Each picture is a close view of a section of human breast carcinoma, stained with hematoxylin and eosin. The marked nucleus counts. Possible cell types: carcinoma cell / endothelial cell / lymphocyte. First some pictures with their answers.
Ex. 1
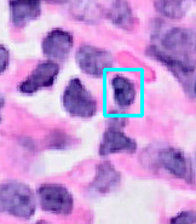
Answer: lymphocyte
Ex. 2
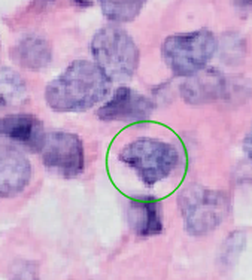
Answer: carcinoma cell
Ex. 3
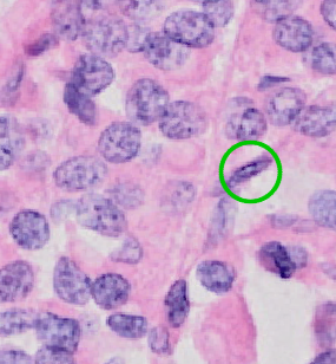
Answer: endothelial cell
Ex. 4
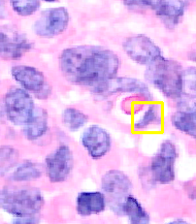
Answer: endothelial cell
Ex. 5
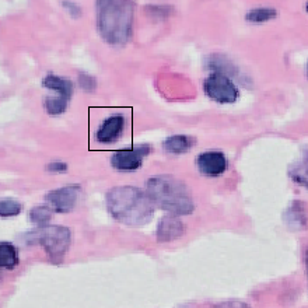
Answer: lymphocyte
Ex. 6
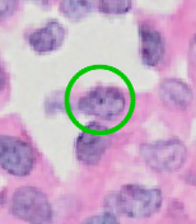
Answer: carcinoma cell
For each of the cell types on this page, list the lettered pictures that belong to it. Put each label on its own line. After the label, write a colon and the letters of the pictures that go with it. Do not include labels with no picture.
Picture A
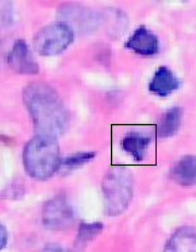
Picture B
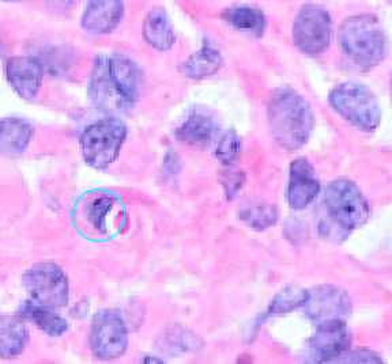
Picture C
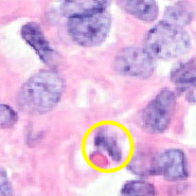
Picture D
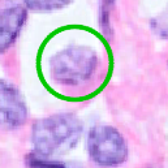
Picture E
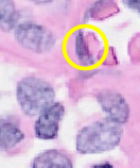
carcinoma cell: D
endothelial cell: B, C, E
lymphocyte: A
